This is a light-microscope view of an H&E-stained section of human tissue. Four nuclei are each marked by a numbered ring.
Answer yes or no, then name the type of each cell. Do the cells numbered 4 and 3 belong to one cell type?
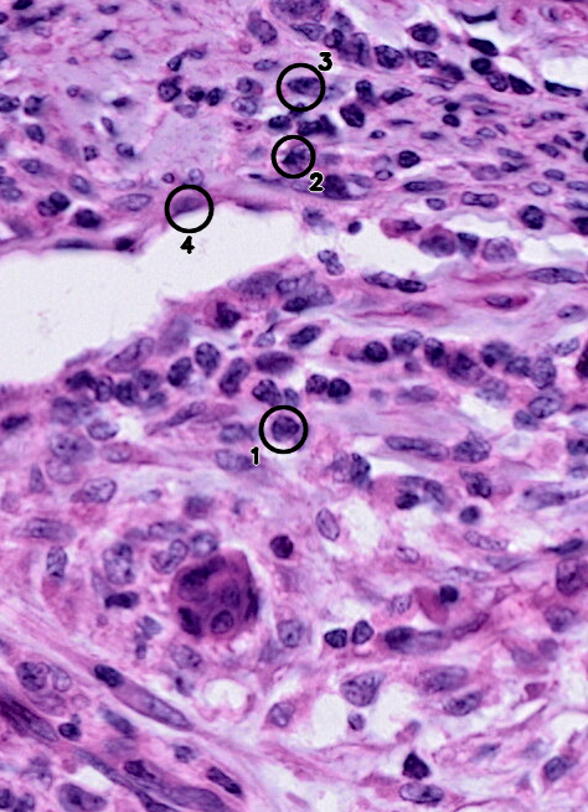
No, cell 4 is an endothelial cell and cell 3 is a lymphocyte.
